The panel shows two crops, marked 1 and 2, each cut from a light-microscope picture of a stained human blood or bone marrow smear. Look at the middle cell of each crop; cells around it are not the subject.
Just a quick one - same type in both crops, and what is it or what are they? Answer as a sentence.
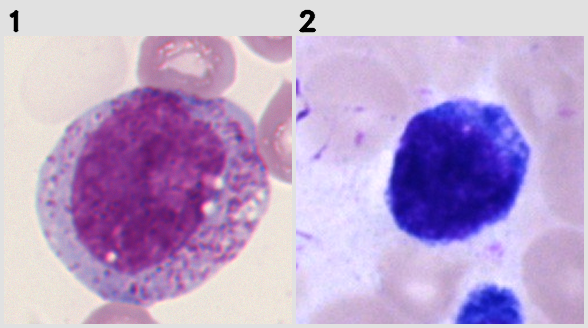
No, the cell in crop 1 is a promyelocyte and the one in crop 2 is a blast.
